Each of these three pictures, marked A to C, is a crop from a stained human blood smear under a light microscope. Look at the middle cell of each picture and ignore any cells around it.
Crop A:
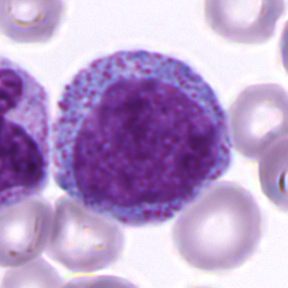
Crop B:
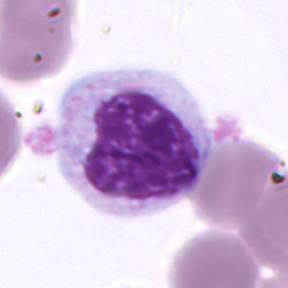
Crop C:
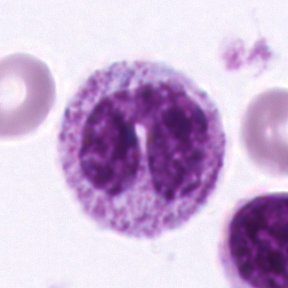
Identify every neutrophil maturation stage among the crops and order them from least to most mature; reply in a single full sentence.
The right order here, from least to most mature, is crop A (a promyelocyte), crop B (a metamyelocyte) and crop C (a band neutrophil).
